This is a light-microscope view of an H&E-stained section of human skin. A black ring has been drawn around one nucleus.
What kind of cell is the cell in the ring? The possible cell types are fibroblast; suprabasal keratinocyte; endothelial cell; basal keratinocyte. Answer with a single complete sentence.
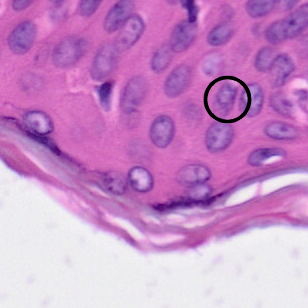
The identity of the cell in the ring is that of a suprabasal keratinocyte.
